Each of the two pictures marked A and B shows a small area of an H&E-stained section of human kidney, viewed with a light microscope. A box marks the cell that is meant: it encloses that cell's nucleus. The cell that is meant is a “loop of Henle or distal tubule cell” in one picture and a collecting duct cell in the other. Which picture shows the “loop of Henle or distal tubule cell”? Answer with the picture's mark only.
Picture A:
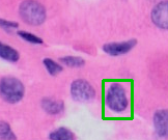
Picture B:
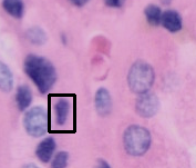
A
